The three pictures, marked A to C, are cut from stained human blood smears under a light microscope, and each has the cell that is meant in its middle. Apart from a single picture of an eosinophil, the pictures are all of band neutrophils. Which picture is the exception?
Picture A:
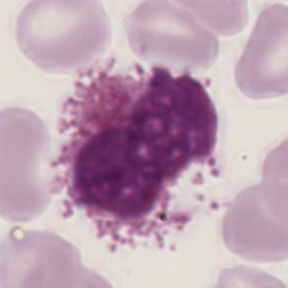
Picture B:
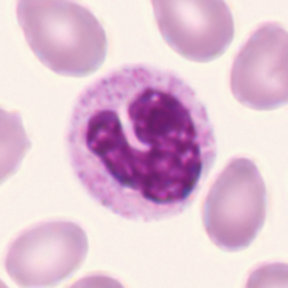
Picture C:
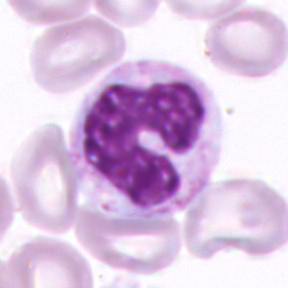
A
